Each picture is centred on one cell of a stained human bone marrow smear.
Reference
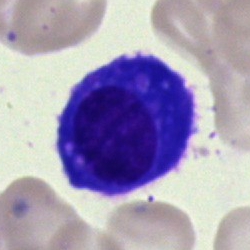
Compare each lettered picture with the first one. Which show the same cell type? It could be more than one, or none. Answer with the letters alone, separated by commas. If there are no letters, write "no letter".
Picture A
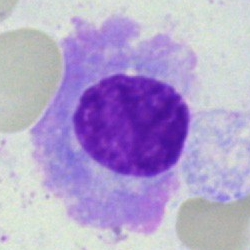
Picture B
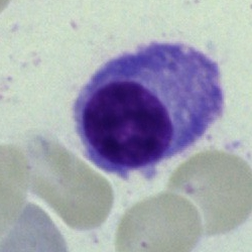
A, B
